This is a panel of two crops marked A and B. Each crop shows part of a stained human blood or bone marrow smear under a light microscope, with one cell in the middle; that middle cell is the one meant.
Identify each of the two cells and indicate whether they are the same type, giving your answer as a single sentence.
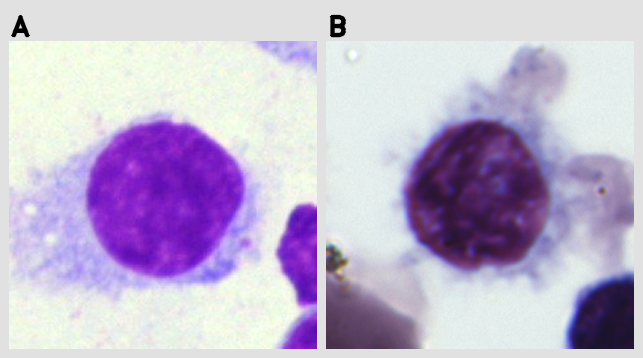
Yes, the cells that both crops show at the centre are hairy cells.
